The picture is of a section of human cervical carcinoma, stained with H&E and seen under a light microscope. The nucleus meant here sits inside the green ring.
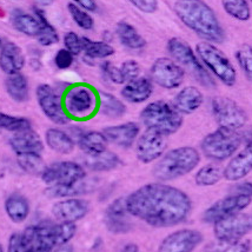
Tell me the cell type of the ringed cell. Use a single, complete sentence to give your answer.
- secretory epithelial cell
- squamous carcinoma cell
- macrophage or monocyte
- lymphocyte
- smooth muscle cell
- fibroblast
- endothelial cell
The cell type represented by the ringed cell is that of a squamous carcinoma cell.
